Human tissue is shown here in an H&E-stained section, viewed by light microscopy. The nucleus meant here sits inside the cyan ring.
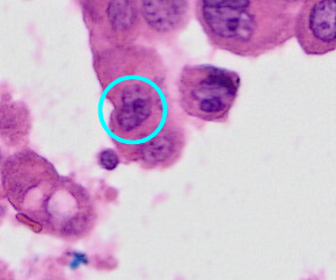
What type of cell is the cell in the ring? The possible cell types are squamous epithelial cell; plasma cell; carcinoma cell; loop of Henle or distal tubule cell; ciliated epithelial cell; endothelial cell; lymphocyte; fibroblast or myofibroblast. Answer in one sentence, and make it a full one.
The expected answer is simply that the cell in the ring is a carcinoma cell.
